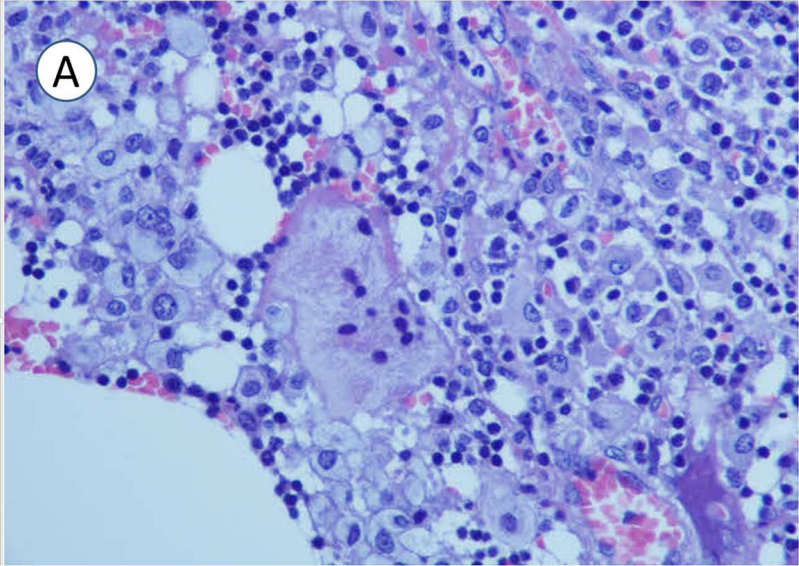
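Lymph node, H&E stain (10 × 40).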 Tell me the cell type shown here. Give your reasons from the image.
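Many large cells with abundant pale, finely vacuolated cytoplasm and round to oval nuclei. These large pale cells lie in sheets among small dark round cells.
Foamy macrophages.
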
